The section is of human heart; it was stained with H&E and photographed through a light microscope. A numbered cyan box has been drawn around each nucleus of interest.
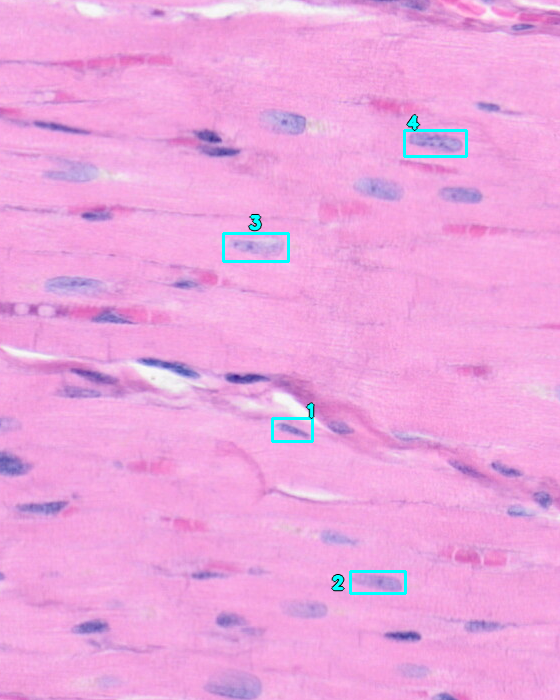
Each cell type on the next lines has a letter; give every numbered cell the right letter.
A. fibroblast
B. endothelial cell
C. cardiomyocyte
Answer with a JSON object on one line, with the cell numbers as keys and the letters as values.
{"1": "A", "2": "C", "3": "C", "4": "C"}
